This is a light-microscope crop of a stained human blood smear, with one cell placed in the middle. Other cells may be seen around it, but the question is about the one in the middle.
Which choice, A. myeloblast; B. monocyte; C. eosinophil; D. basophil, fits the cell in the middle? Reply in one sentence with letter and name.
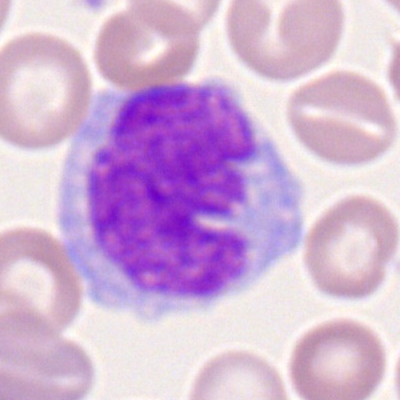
The correct response is option B, naming the cell in the middle as a monocyte.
